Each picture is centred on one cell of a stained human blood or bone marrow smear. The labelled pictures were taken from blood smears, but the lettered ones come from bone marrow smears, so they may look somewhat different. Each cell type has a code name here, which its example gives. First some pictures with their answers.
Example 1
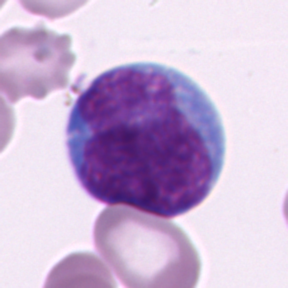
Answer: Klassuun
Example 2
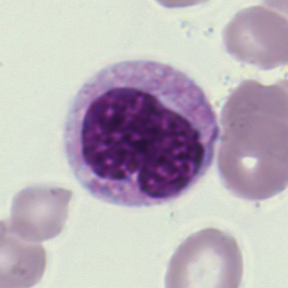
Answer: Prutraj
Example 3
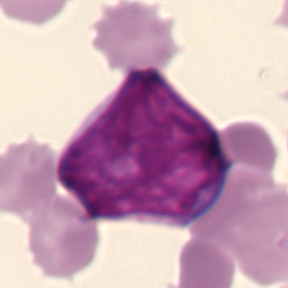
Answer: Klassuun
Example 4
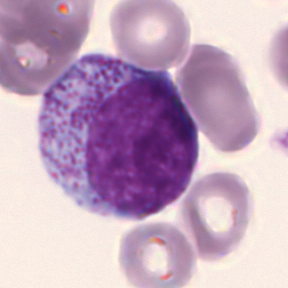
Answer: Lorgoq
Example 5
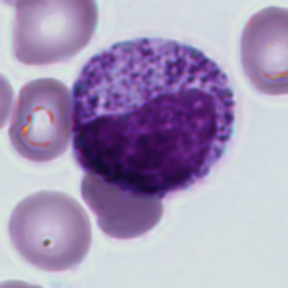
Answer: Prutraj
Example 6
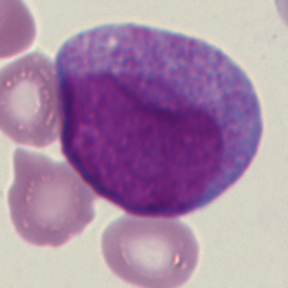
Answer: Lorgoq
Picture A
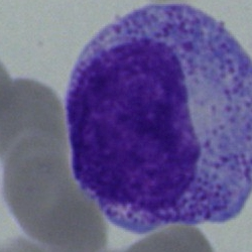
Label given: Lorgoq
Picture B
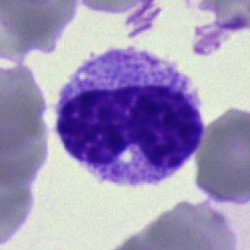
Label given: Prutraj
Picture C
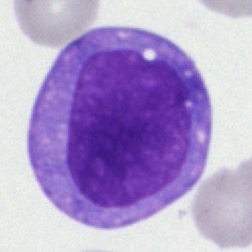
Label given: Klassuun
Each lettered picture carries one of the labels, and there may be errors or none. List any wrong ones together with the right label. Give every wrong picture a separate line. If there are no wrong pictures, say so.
None of the labels needs changing.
